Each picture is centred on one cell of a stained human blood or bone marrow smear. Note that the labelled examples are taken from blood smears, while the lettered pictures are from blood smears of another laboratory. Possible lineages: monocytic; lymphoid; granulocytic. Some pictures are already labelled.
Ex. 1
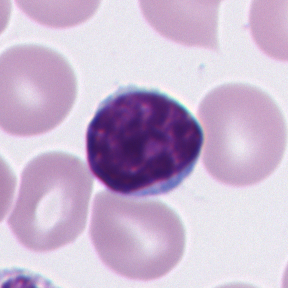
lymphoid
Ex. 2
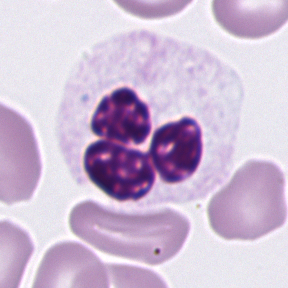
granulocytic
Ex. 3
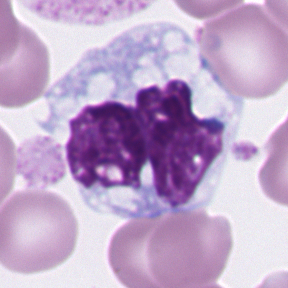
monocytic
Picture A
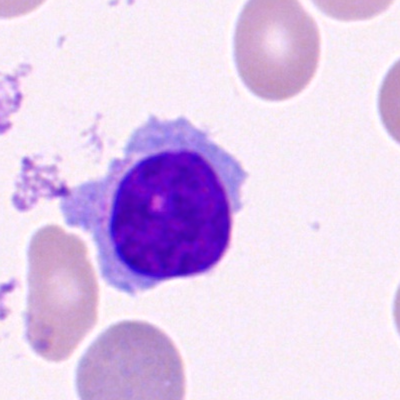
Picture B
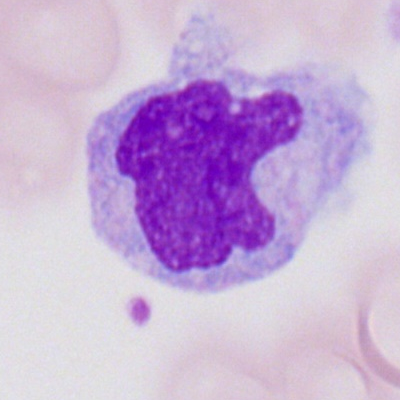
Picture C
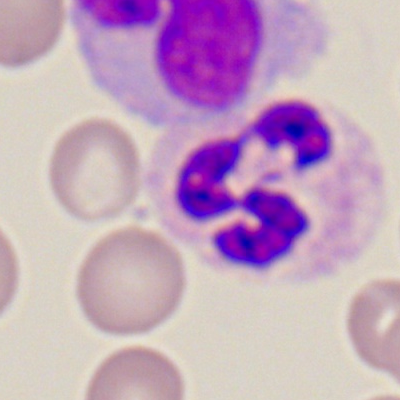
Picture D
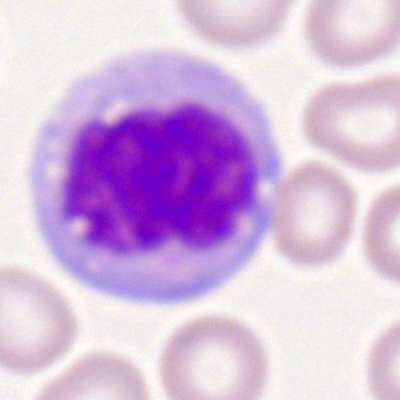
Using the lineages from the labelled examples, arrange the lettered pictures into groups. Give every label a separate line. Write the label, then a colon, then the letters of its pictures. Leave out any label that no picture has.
monocytic: B, D
lymphoid: A
granulocytic: C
